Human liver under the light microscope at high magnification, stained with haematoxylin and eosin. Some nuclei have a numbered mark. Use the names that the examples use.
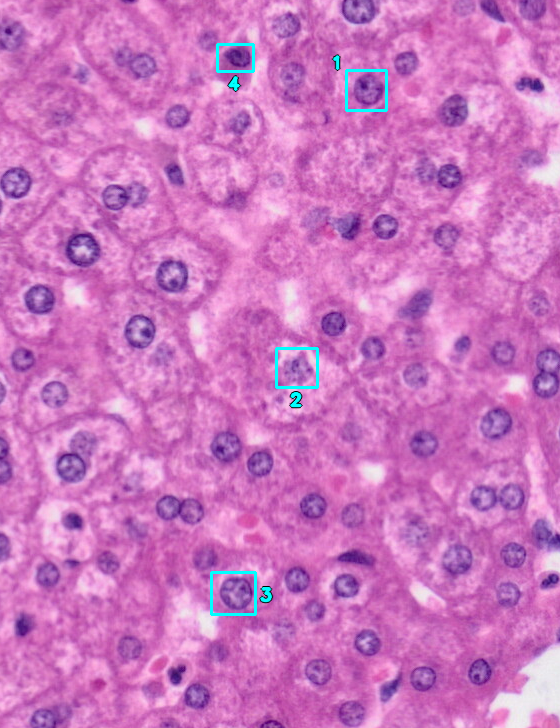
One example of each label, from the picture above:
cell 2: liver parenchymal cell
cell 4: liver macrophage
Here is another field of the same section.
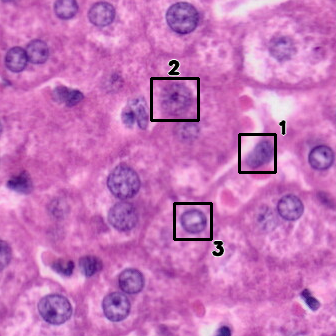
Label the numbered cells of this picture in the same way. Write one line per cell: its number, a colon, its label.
1: liver macrophage
2: liver parenchymal cell
3: liver parenchymal cell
